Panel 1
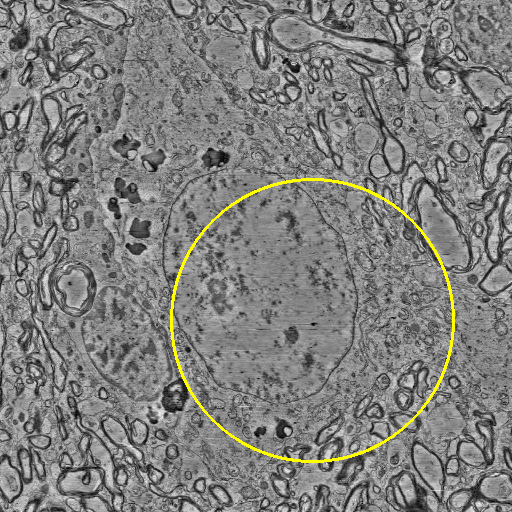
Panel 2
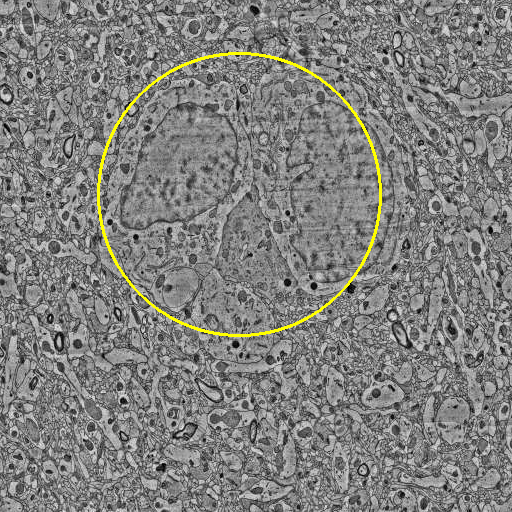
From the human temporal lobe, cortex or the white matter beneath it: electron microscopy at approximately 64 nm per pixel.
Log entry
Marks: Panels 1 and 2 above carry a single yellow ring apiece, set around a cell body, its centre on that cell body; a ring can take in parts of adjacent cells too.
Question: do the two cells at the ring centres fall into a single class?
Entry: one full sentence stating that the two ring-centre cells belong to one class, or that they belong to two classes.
The two ring-centre cells in Panels 1 and 2 belong to two classes.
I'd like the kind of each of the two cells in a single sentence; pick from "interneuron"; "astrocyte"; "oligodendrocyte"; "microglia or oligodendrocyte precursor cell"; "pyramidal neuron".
The first ring marks a pyramidal neuron, and the second ring marks an oligodendrocyte.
